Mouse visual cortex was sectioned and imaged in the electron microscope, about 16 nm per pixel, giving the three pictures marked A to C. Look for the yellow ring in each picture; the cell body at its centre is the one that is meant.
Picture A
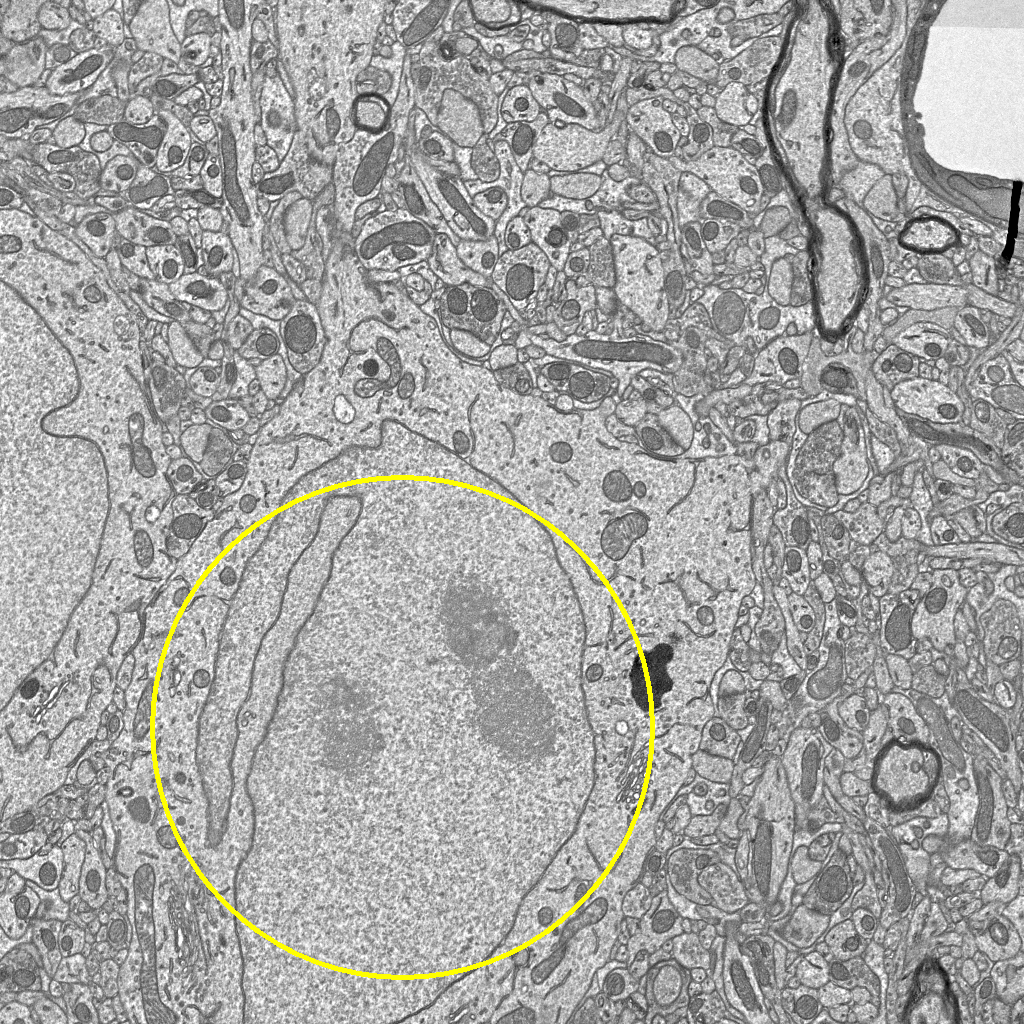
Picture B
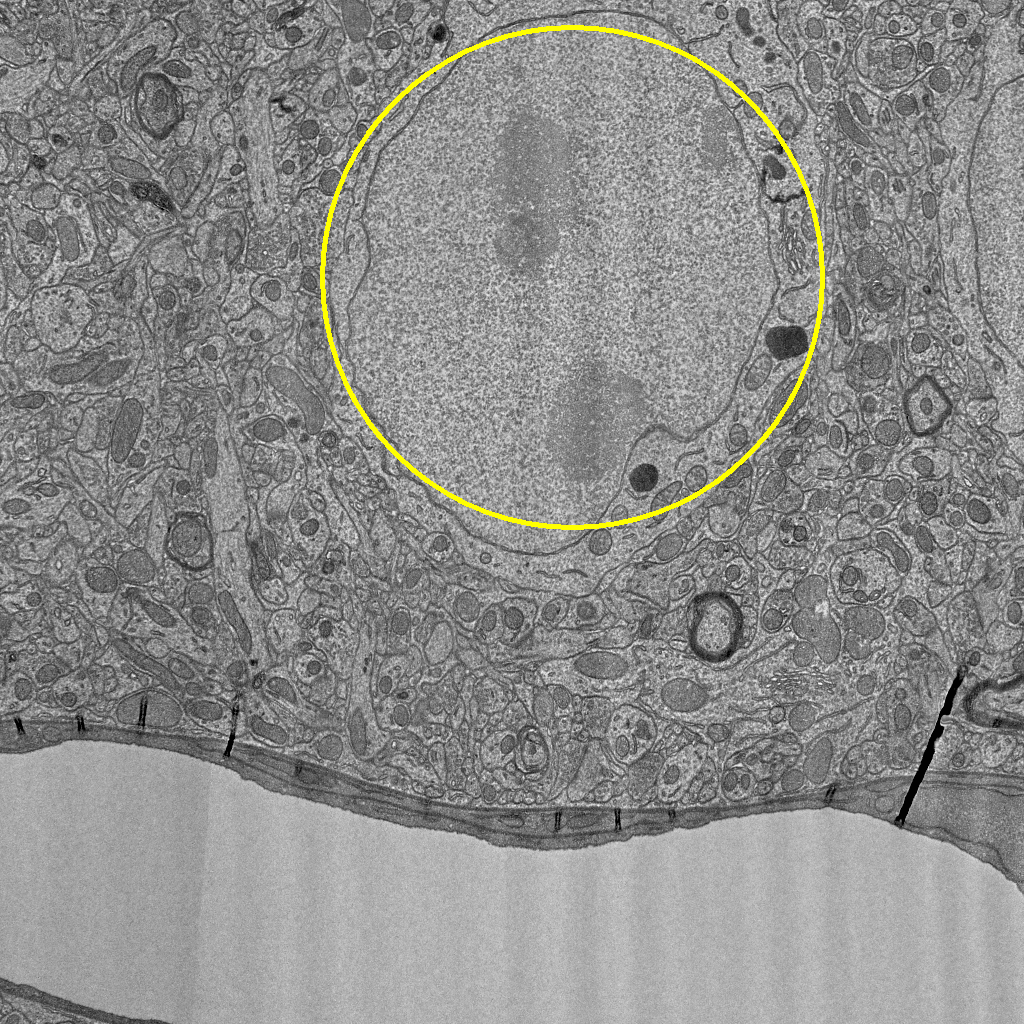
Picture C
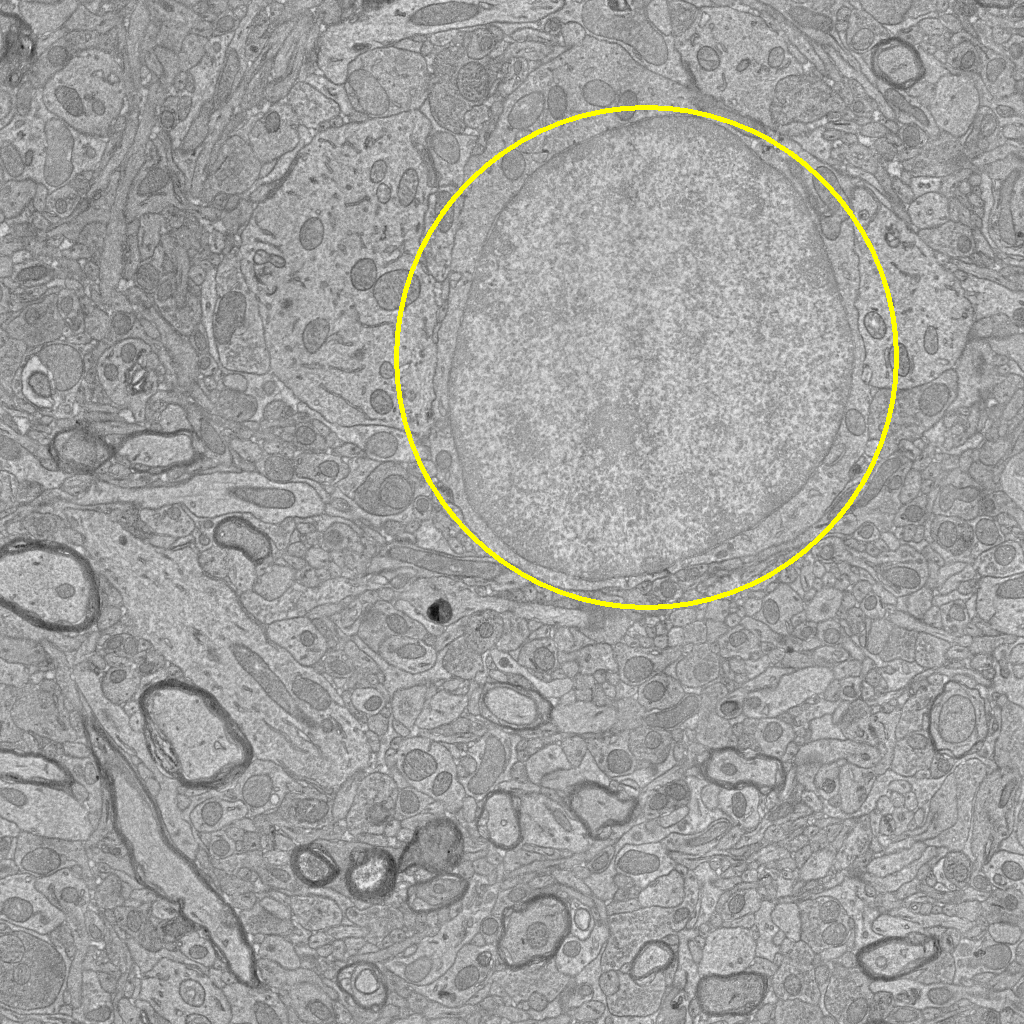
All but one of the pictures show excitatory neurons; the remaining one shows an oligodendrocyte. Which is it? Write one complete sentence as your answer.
Picture C is the one that shows the oligodendrocyte.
